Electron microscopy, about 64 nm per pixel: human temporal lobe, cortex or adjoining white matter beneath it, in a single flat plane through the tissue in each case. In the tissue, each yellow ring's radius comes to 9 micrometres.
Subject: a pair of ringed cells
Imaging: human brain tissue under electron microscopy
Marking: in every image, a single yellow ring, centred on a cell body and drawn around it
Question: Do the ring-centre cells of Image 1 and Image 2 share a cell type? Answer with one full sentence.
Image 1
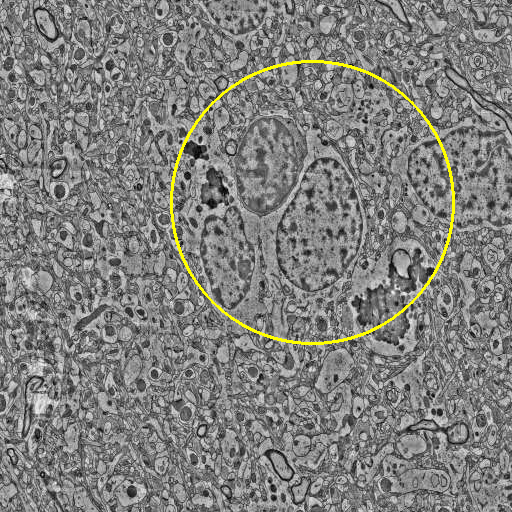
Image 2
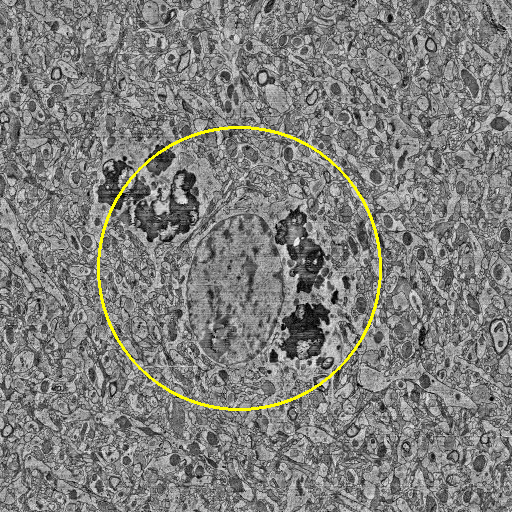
Yes, at each ring's centre in the images sits a cell of one common type.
